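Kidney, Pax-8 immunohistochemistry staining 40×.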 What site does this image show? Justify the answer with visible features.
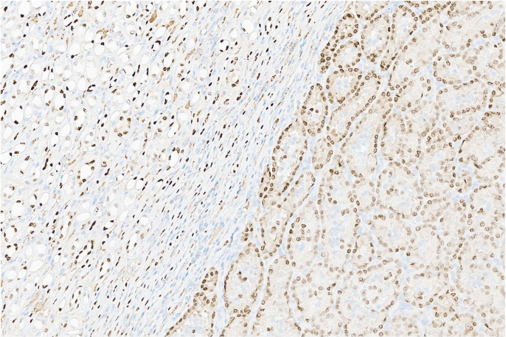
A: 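Two differently textured tissues meet along an oblique band of pale stroma. Brown-stained nuclei are present on both sides of the band.
Answer: the interface between normal renal tissue and neoplasia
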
